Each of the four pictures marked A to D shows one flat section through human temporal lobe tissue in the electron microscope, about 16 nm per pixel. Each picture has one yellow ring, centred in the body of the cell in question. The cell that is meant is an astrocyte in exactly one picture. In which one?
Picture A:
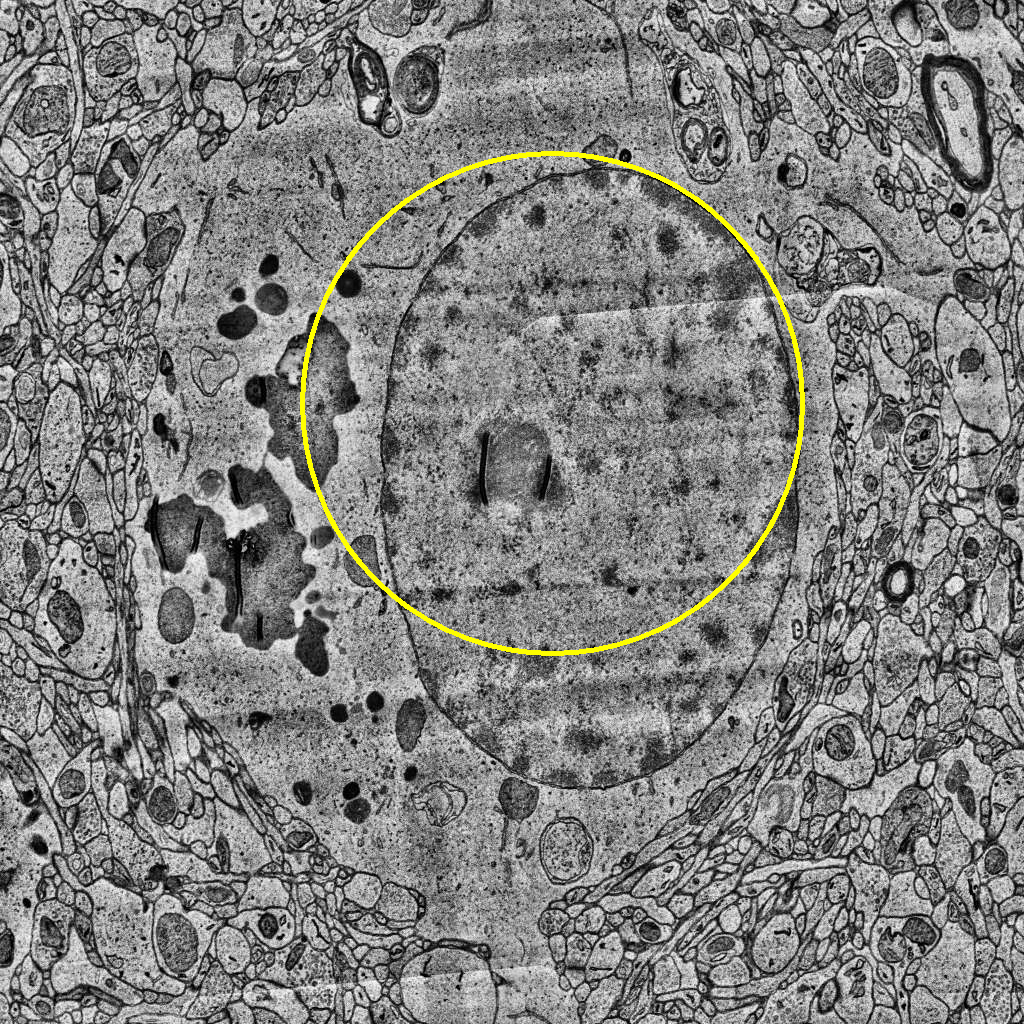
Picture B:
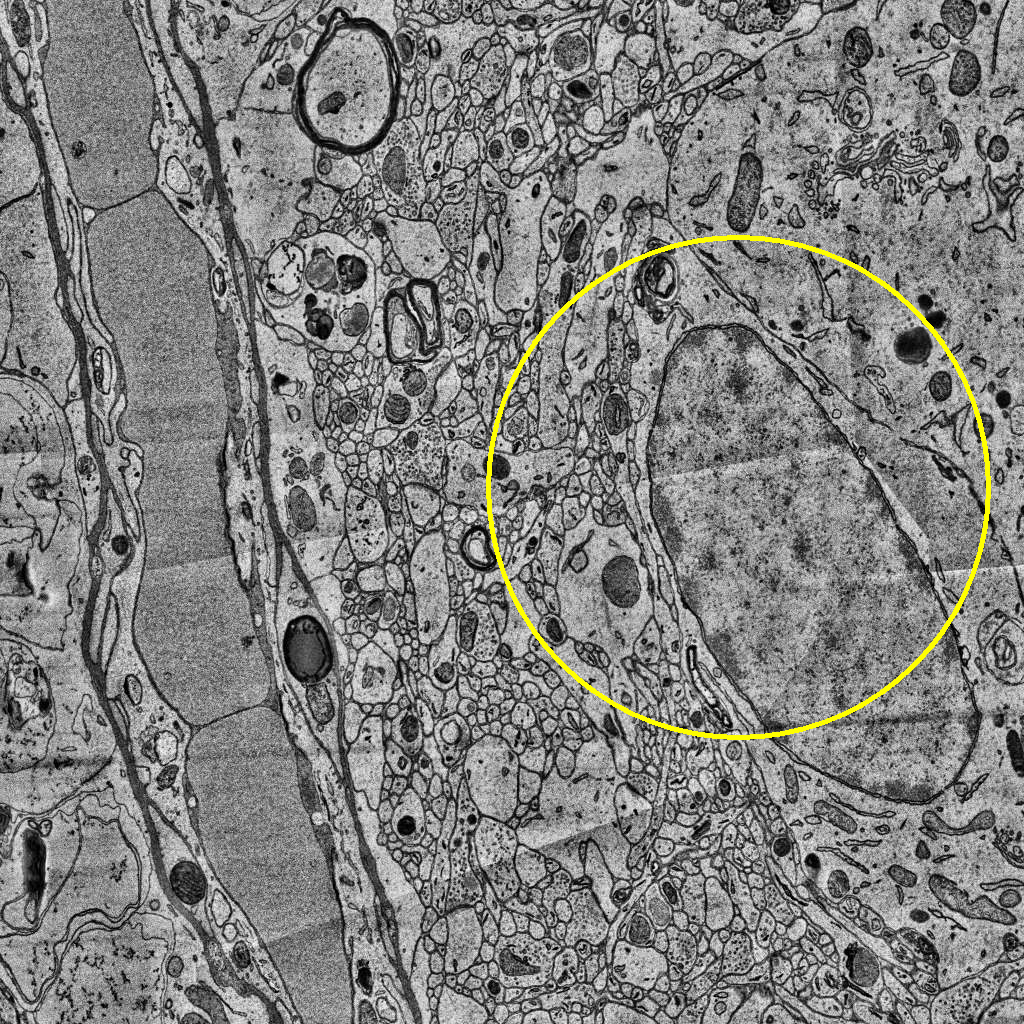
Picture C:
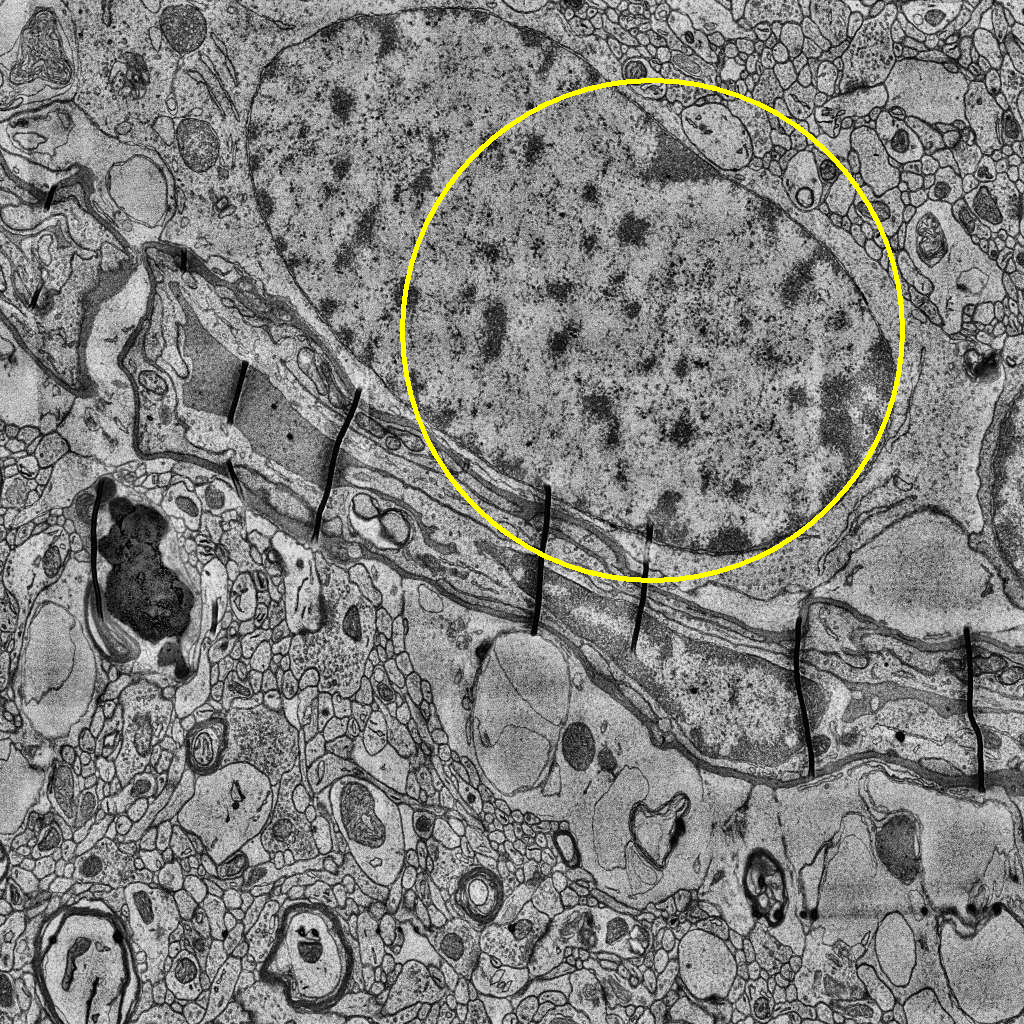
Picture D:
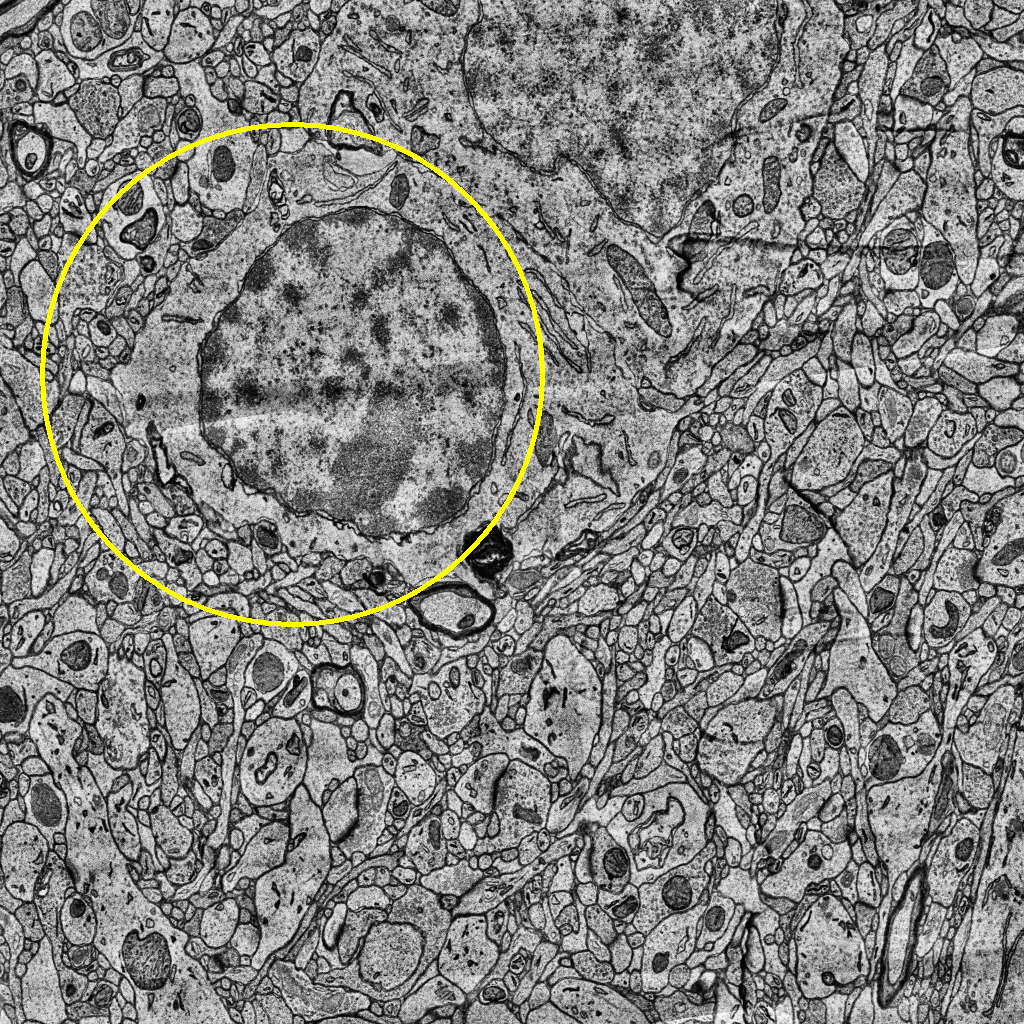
The cell in picture A is the astrocyte.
